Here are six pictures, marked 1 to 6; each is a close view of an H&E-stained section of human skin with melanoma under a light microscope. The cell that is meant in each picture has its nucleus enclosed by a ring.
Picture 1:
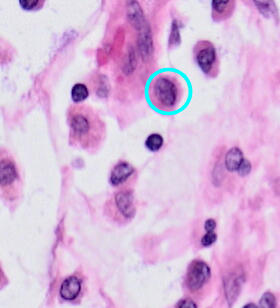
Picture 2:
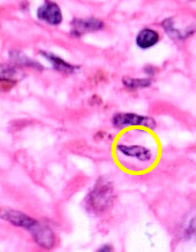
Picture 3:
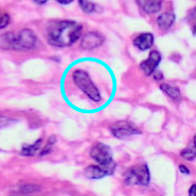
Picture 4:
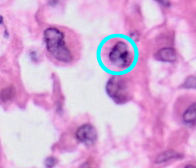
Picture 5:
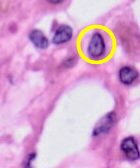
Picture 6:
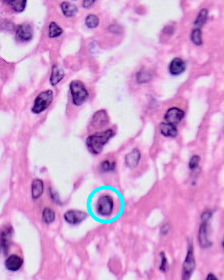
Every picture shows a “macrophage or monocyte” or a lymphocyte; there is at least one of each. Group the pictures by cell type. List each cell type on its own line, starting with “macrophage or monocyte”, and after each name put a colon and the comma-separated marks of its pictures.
macrophage or monocyte: 1, 3, 4, 5
lymphocyte: 2, 6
